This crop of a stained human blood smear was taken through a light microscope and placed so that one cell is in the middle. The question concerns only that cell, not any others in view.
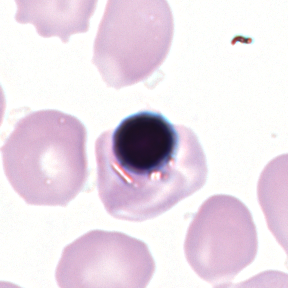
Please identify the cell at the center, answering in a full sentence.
The cell shown in the center of this light-microscope crop is a normoblast.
